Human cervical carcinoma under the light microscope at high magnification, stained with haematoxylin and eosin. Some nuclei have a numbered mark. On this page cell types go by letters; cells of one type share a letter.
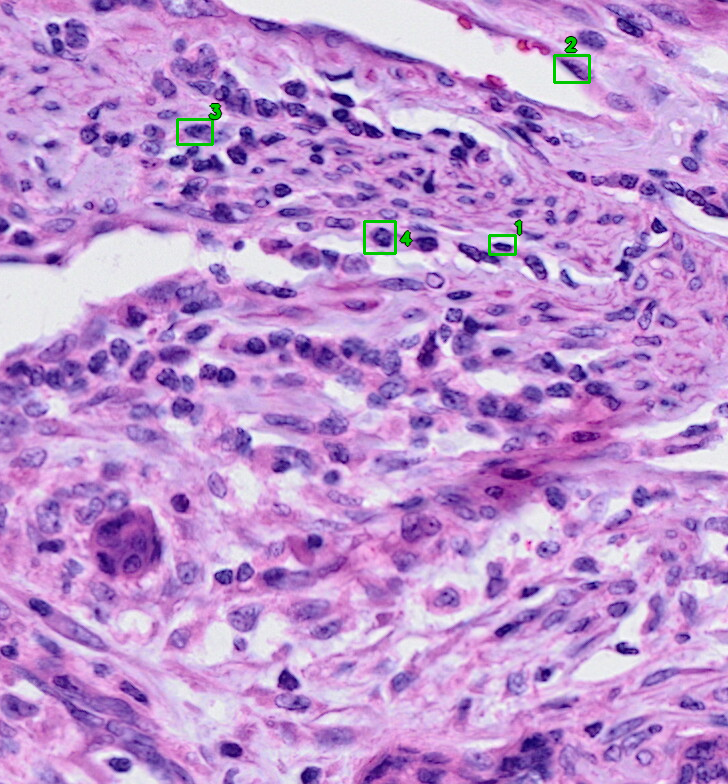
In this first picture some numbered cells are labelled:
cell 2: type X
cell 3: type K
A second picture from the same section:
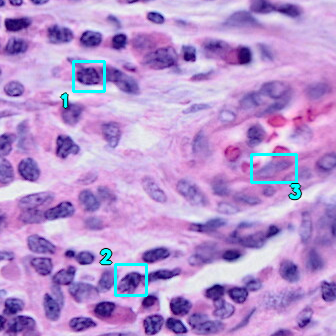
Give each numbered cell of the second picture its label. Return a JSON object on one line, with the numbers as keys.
{"1": "type K", "2": "type K", "3": "type X"}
